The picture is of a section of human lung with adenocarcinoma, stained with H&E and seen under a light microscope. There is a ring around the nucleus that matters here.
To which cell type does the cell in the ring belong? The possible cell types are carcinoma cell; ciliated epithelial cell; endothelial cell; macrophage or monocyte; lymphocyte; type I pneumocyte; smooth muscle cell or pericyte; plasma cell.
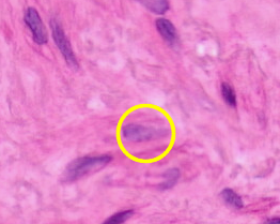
smooth muscle cell or pericyte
